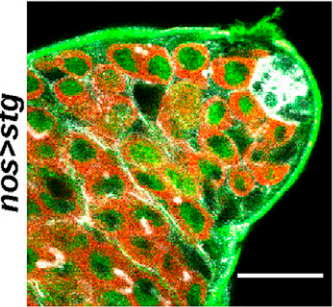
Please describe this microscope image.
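Apical tip of a testis with germline cells showing red cytoplasm and rounded green nuclei, separated by thin gray somatic outlines. A bright white-gray cluster, the hub, sits at the apex, and a bright green rim lines the outer edge of the tissue. Gray fusome fragments lie among the germ cells.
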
